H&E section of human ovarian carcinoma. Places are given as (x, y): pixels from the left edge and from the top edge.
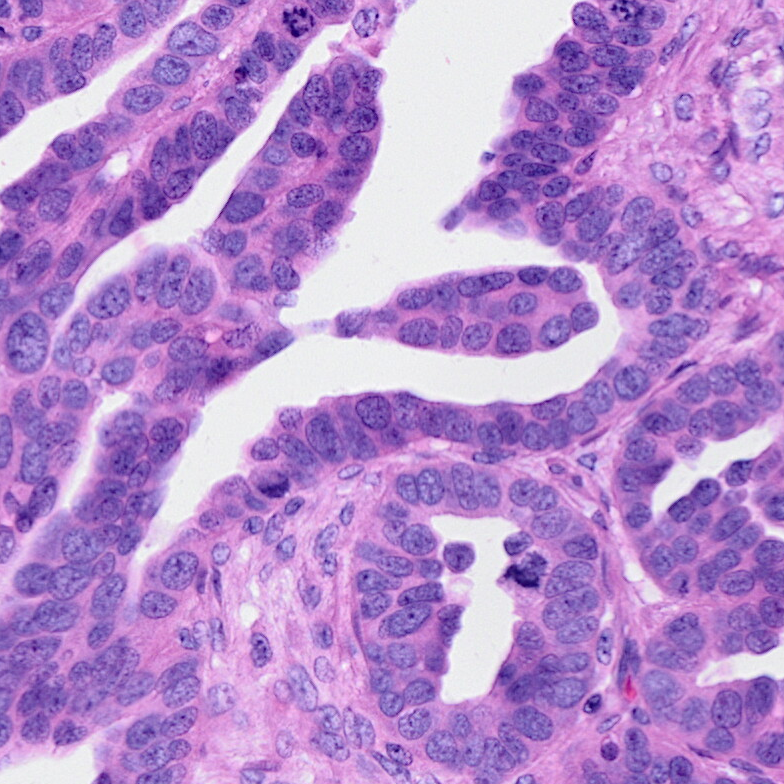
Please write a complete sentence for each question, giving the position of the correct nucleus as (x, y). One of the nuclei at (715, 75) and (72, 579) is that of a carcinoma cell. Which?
Of the two nuclei, that at (72, 579) is the nucleus of a carcinoma cell.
